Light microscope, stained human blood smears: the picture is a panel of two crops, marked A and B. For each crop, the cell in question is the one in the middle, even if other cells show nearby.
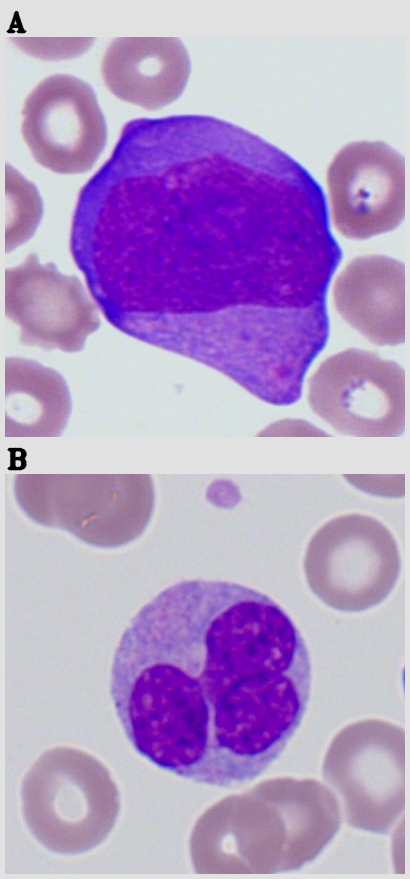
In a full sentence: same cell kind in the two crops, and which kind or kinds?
No, crop A is of a myeloblast, and crop B is of a monocyte.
